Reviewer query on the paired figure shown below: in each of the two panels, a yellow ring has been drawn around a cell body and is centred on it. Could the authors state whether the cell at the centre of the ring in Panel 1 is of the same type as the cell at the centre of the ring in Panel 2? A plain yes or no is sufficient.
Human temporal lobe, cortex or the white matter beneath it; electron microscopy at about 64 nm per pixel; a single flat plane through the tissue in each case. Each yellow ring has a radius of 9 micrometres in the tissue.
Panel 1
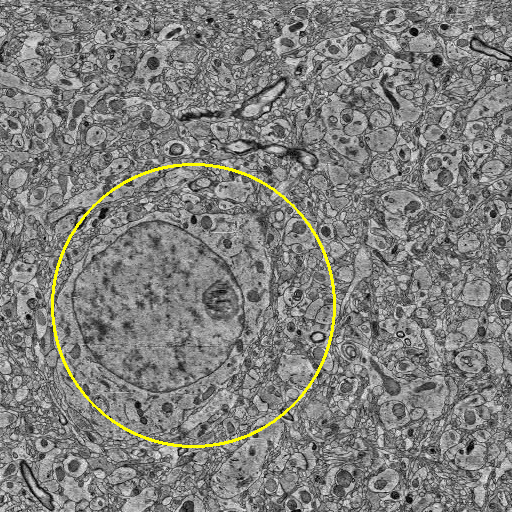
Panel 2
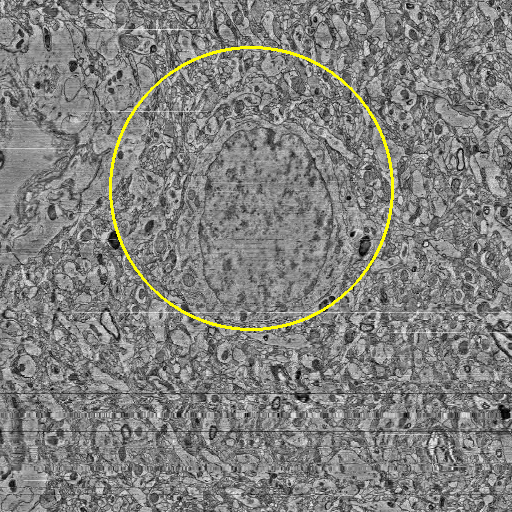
no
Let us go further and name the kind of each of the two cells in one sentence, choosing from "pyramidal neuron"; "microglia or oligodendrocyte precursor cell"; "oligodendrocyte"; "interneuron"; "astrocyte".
The ring of the first picture is on a pyramidal neuron, the ring of the second on an interneuron.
